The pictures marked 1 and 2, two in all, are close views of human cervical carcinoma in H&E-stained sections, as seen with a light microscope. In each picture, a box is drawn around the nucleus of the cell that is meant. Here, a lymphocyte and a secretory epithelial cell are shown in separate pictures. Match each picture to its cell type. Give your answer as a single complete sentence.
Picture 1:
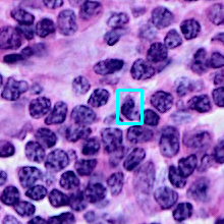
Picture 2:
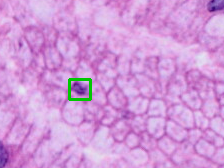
It is picture 1 that shows a lymphocyte, and picture 2 that shows a secretory epithelial cell.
